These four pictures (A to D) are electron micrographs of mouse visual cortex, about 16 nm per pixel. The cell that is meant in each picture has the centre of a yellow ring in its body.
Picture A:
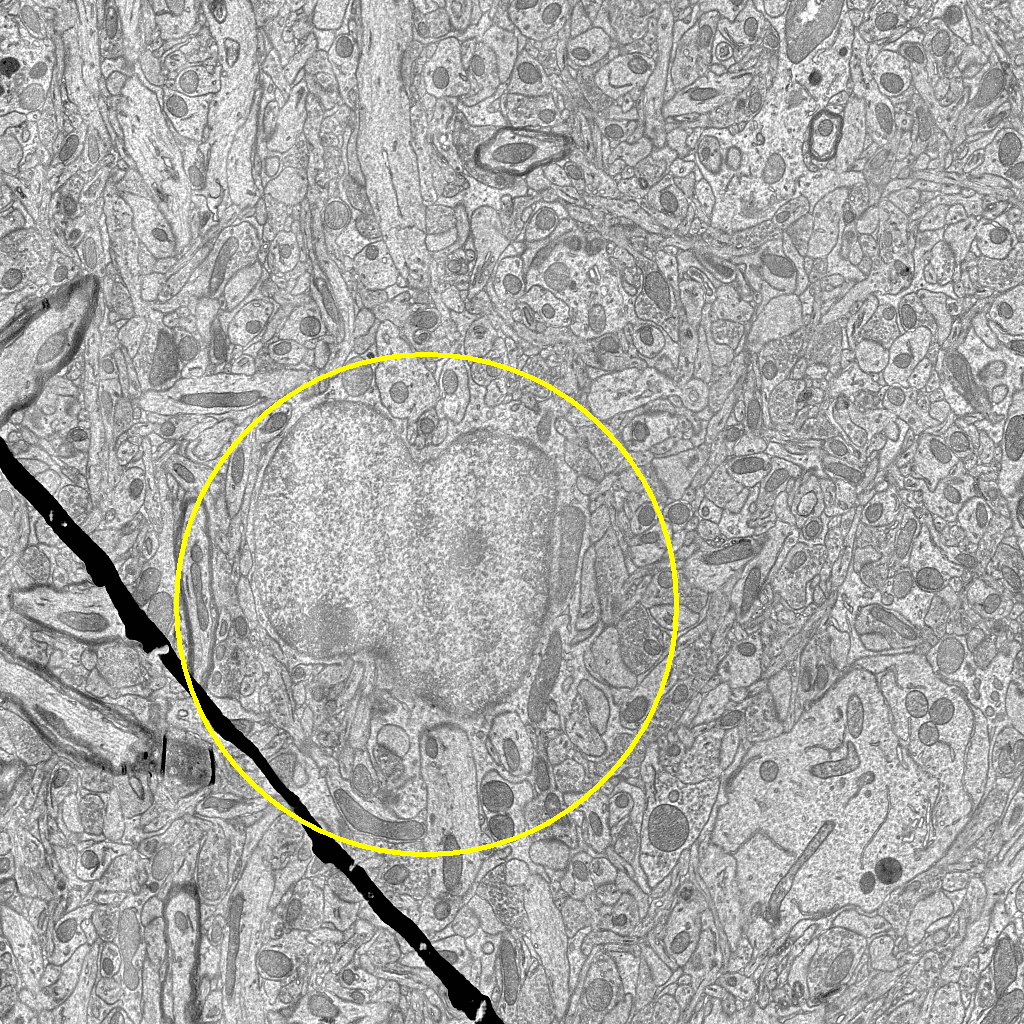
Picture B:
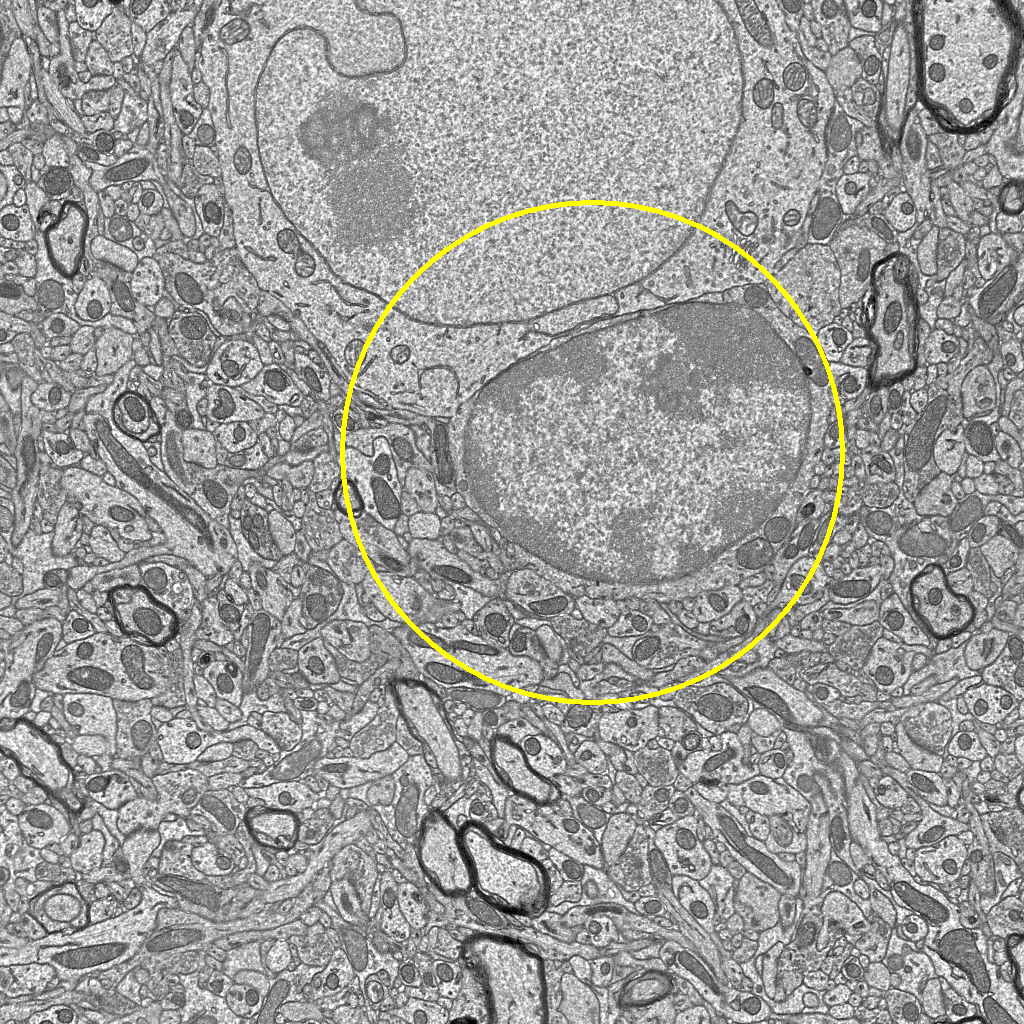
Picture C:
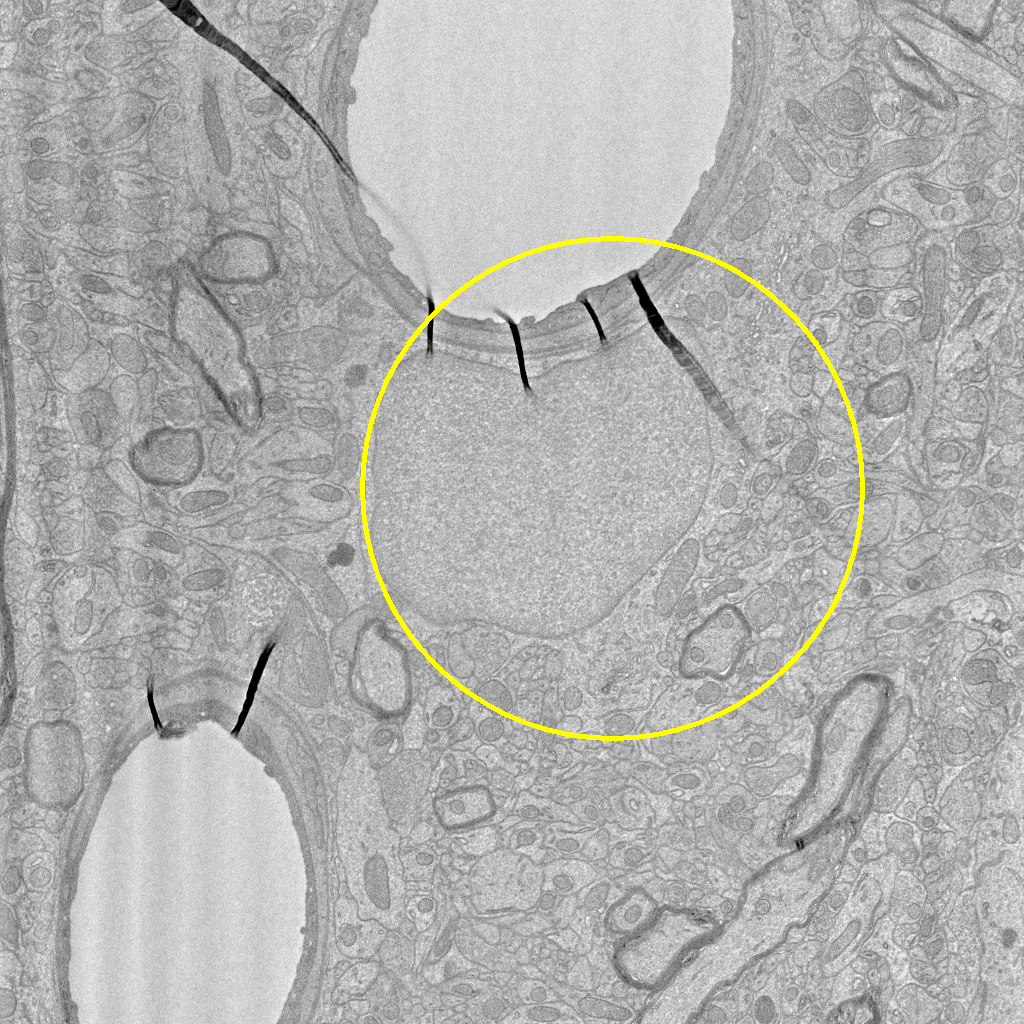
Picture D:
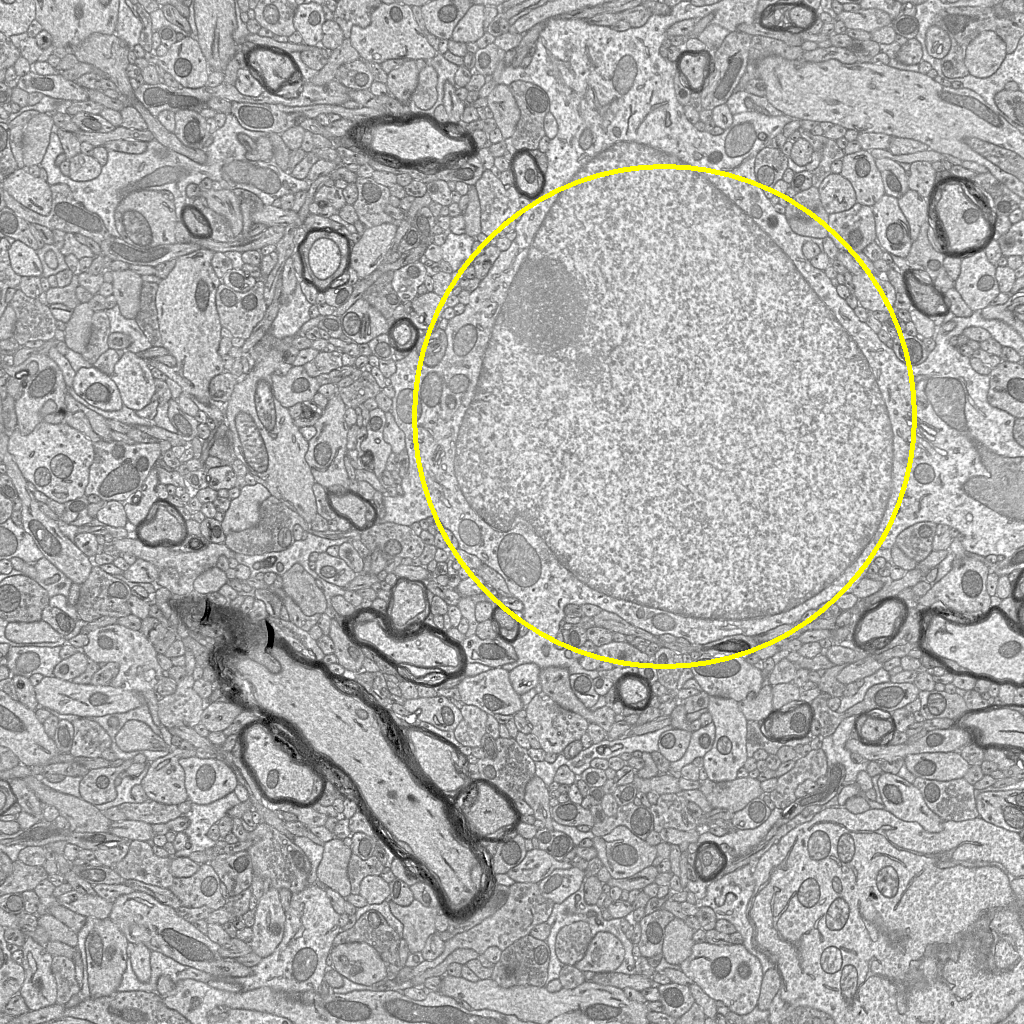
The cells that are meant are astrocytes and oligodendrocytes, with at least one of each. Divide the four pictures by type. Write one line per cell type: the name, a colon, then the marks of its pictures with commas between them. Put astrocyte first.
astrocyte: A, C, D
oligodendrocyte: B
